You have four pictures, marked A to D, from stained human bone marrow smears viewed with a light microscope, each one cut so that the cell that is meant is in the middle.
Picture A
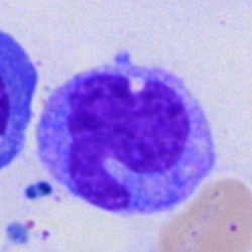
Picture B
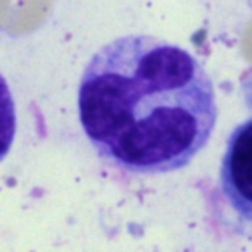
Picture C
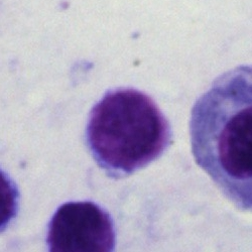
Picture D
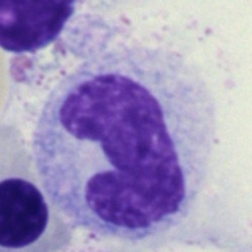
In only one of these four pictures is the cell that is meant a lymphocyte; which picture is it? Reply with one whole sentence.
Picture C is the one that shows the lymphocyte.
